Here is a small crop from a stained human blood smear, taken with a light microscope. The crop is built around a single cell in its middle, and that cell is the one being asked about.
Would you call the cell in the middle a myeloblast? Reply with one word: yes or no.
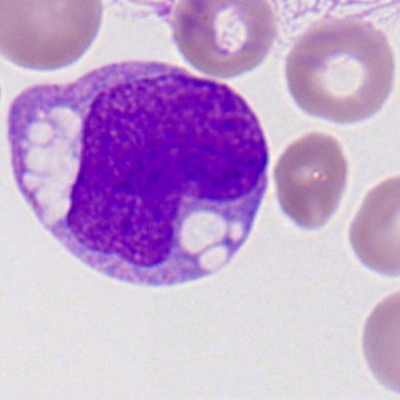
no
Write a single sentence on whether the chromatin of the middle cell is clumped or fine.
The nuclear chromatin is fine, showing no coarse aggregates.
